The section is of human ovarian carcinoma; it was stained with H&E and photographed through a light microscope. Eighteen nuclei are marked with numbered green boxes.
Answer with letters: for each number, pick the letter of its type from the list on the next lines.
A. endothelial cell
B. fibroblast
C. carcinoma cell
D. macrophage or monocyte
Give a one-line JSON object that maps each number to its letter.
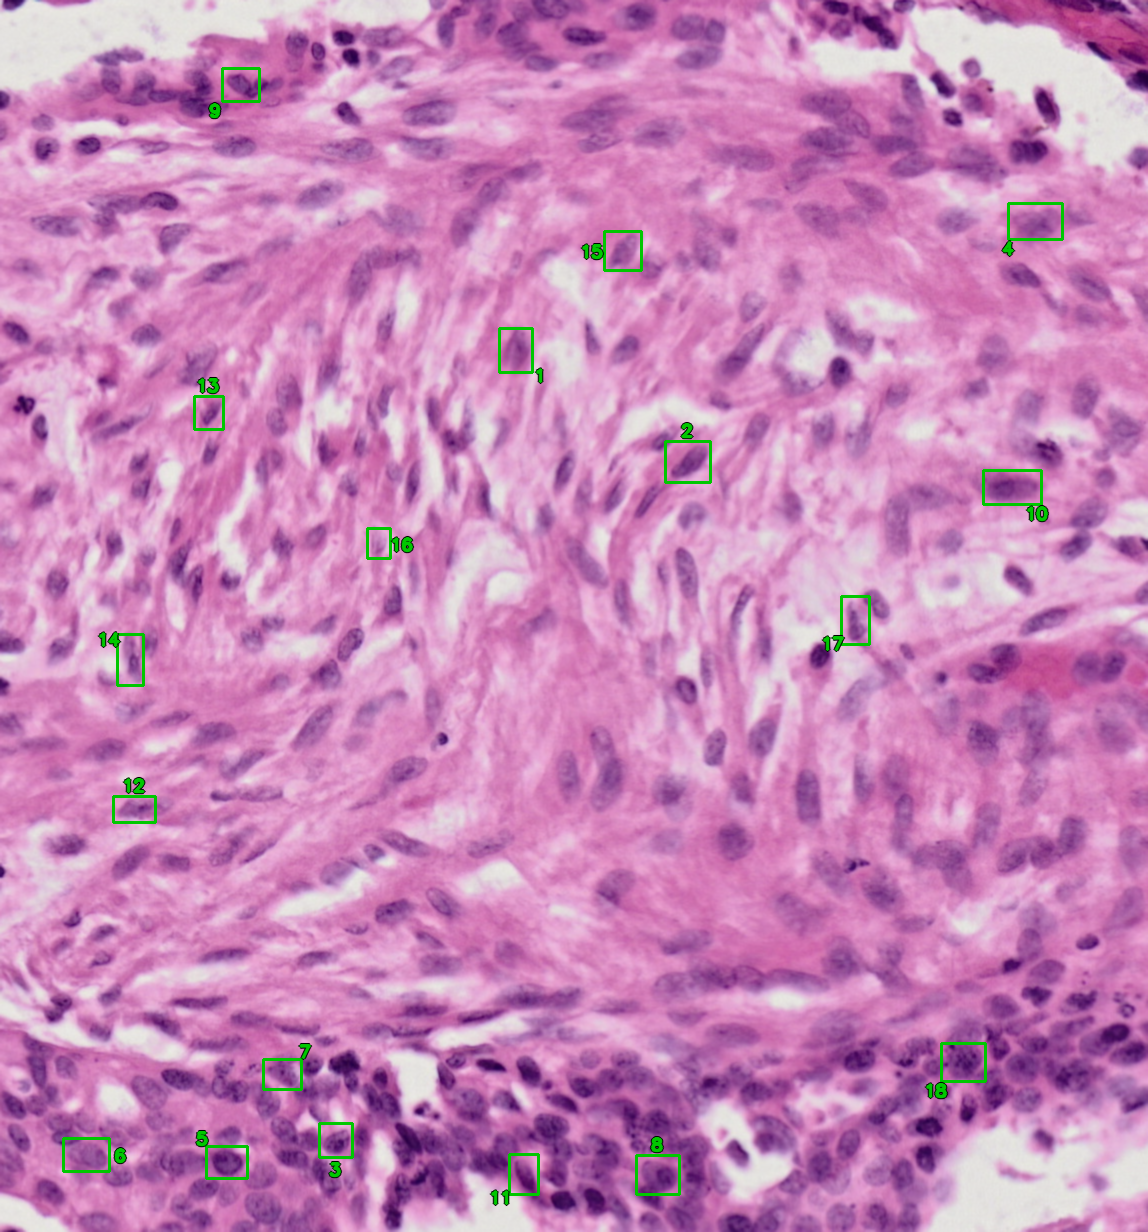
{"1": "B", "2": "B", "3": "D", "4": "B", "5": "C", "6": "C", "7": "C", "8": "C", "9": "A", "10": "B", "11": "C", "12": "B", "13": "B", "14": "B", "15": "B", "16": "B", "17": "B", "18": "C"}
